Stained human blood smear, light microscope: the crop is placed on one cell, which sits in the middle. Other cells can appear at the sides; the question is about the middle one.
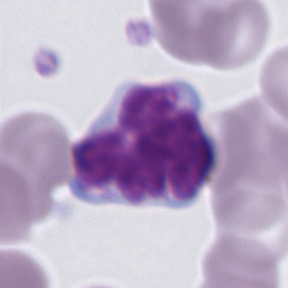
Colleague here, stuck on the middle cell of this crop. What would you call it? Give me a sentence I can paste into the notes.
For this crop, the cell in the middle is a large granular lymphocyte.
